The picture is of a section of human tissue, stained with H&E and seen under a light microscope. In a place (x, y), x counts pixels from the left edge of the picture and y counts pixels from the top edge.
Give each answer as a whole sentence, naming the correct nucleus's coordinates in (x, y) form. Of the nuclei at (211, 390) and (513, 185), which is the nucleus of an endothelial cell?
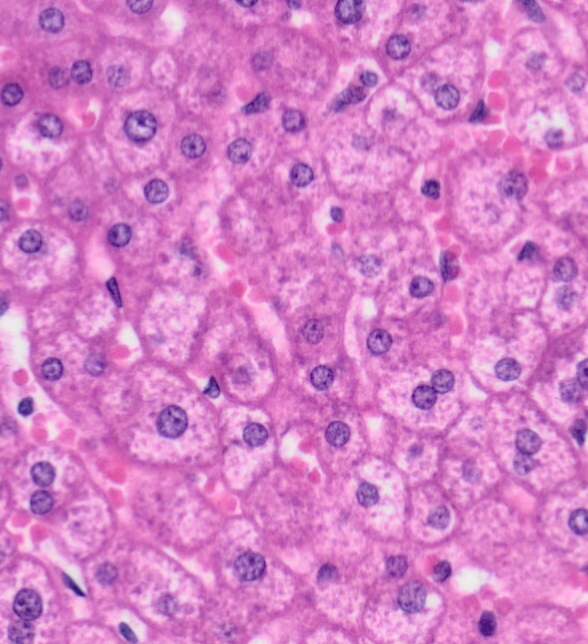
Belonging to an endothelial cell is the nucleus at (211, 390).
